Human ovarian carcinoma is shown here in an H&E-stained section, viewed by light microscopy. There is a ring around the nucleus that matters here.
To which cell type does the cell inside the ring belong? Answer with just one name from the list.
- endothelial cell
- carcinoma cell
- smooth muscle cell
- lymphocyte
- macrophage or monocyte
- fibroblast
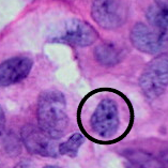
macrophage or monocyte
